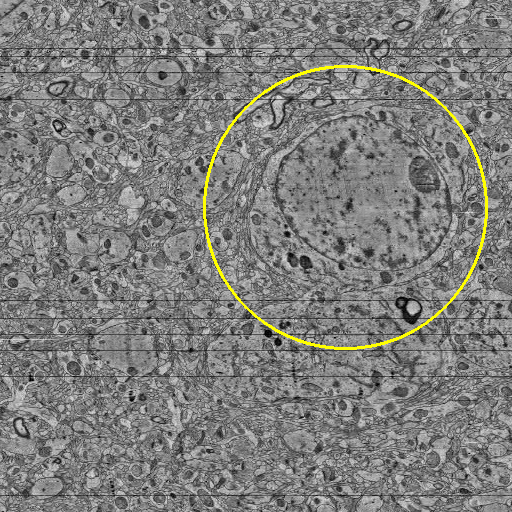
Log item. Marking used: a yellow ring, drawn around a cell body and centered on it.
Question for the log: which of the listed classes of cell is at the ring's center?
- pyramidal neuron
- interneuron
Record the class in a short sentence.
At the center of the ring lies a pyramidal neuron.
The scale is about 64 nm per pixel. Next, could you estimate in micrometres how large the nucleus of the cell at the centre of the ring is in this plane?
The ringed cell's nucleus measures approximately 11 by 10 micrometres in this plane.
